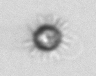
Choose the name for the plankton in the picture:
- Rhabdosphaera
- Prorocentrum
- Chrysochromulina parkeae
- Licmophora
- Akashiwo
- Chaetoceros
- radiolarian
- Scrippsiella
Rhabdosphaera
